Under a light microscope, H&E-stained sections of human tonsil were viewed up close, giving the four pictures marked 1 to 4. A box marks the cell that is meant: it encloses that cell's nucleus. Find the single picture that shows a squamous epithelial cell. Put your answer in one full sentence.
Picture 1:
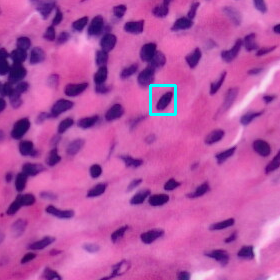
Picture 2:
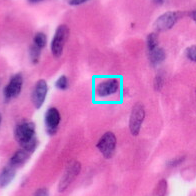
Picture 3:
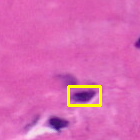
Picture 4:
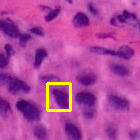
The cell in picture 4 is the squamous epithelial cell.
